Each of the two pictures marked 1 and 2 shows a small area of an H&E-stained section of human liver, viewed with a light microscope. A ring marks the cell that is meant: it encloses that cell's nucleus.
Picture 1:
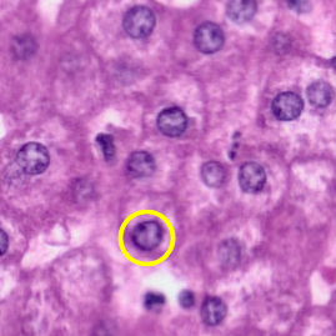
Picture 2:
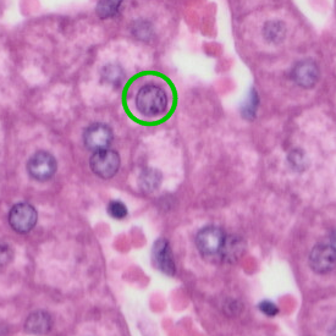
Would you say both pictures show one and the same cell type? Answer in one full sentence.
Yes; the cells in both pictures are hepatocytes.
